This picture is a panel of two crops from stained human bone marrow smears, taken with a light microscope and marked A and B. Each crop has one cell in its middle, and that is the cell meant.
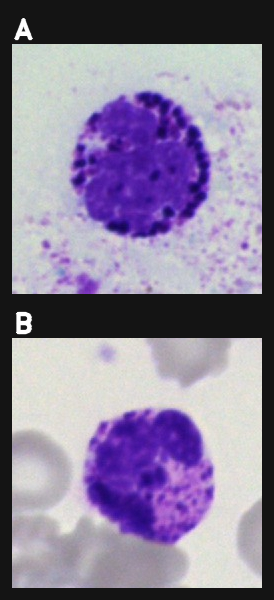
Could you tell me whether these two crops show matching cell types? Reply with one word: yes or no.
yes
